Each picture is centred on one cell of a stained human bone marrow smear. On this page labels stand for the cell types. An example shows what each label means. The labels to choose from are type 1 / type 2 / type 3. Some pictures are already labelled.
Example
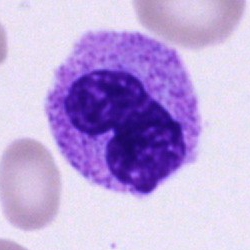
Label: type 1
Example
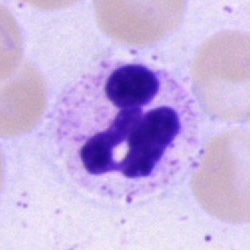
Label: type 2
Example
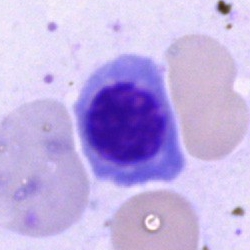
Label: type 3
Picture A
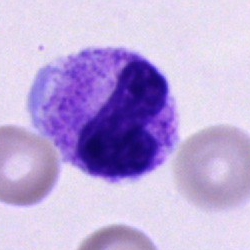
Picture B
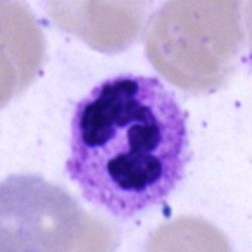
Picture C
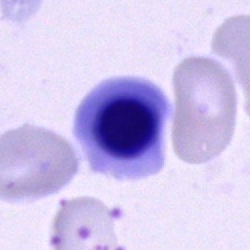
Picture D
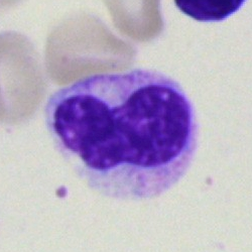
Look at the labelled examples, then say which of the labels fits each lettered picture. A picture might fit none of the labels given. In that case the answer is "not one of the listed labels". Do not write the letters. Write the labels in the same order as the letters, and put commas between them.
type 1, type 2, type 3, type 1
